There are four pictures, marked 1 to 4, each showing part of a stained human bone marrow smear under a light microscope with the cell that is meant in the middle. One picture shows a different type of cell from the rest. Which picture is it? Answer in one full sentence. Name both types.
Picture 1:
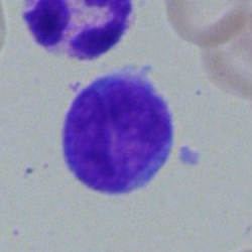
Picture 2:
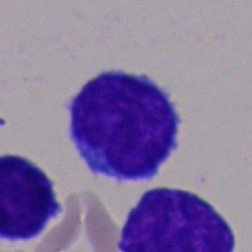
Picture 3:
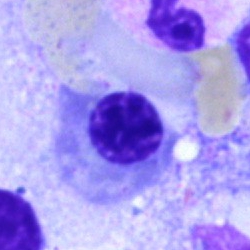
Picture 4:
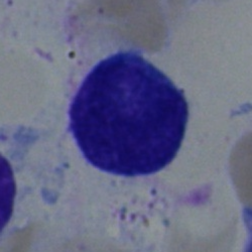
The different one is picture 3; it shows an erythroblast, whereas all the others show blasts.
